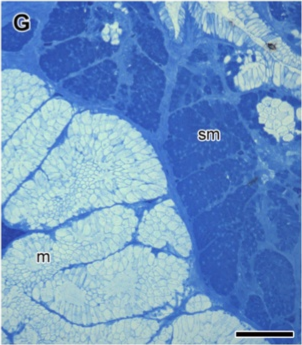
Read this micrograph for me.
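Glandular tissue with mucous cells in the lower left and seromucous cells filling the upper right. The mucous cells are pale and almost unstained, showing a honeycomb of clear cell outlines in lobules, whereas the seromucous cells are stained a dense, dark blue throughout. The boundary between the pale and the dark blue regions is sharp.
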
